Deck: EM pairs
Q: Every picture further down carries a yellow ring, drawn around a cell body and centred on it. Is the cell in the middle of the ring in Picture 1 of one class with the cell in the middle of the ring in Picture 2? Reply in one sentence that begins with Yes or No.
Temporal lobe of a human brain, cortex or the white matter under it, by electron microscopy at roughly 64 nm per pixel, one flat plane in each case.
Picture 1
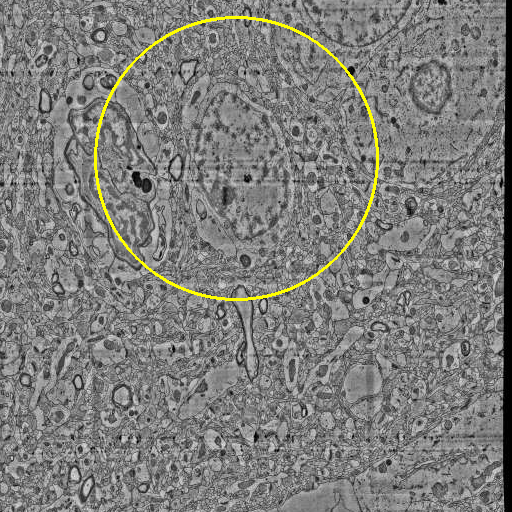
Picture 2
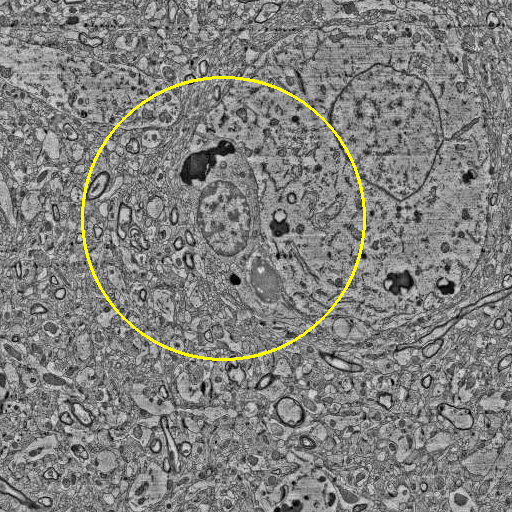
No, the cell centred in the ring of Picture 1 and the one in Picture 2 belong to separate classes.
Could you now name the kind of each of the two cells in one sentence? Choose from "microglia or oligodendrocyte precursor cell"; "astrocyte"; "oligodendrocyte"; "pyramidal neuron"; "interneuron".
The first ring encloses an interneuron; the second ring encloses an oligodendrocyte.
